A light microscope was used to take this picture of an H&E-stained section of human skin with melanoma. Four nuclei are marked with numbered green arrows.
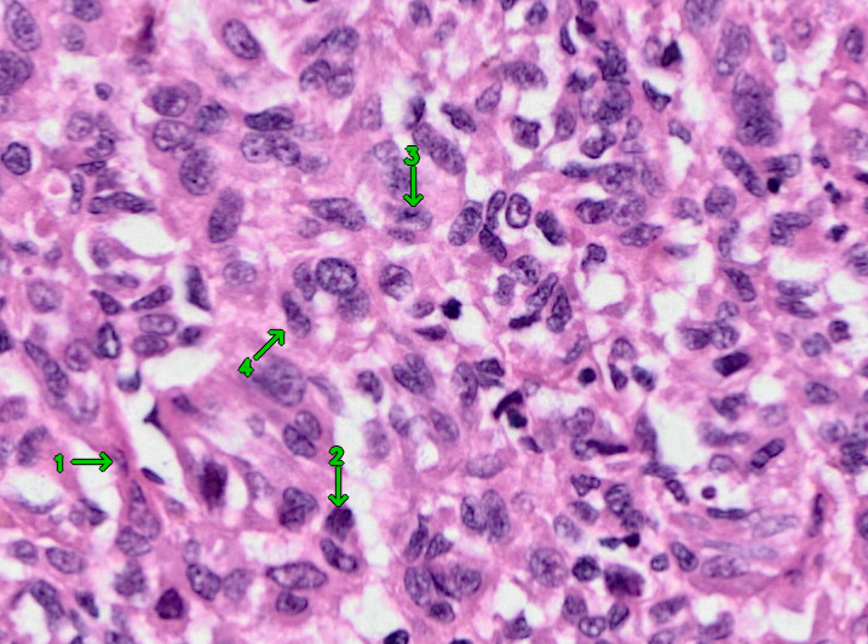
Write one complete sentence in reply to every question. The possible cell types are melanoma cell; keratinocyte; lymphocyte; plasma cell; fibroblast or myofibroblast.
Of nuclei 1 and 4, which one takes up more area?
Nucleus 4 covers more area, about 3 times as much as nucleus 1.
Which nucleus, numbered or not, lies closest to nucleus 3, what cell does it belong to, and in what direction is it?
The nearest one is a melanoma cell, found below and to the left of nucleus 3.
